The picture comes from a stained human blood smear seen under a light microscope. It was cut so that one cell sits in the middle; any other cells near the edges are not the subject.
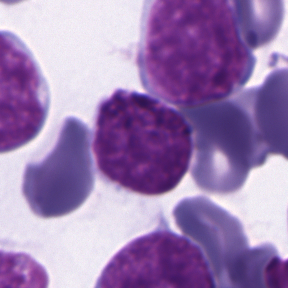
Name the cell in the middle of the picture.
blast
